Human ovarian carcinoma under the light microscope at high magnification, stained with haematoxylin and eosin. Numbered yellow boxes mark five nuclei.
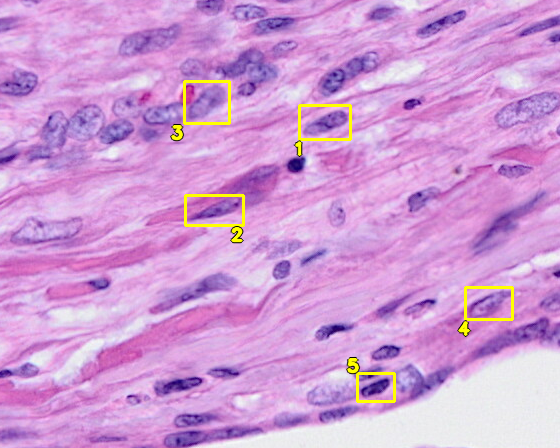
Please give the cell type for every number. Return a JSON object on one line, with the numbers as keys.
{"1": "macrophage or monocyte", "2": "smooth muscle cell", "3": "endothelial cell", "4": "fibroblast", "5": "lymphocyte"}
